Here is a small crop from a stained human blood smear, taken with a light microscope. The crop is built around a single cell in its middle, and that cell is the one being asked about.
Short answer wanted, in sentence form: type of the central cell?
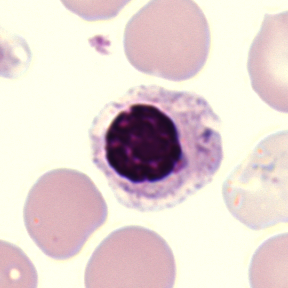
Looking at the middle of the crop, the cell there is a normoblast.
